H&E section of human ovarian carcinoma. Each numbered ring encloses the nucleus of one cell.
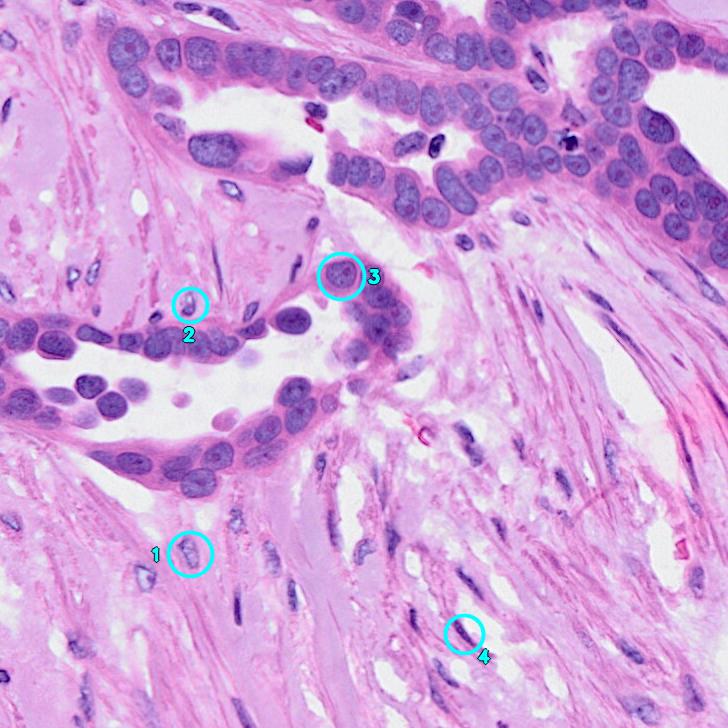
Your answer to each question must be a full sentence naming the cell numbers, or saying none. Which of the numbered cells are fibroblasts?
The cells referred to by the numbers 1, 2 and 4 are fibroblasts.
